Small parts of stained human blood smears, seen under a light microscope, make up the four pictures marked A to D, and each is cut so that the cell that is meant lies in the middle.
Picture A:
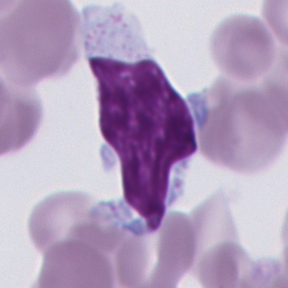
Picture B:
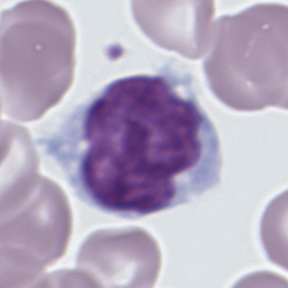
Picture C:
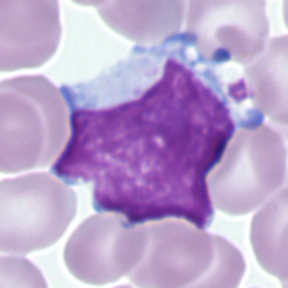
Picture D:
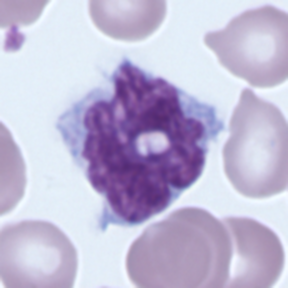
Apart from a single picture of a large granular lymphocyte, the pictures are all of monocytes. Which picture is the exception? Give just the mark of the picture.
A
